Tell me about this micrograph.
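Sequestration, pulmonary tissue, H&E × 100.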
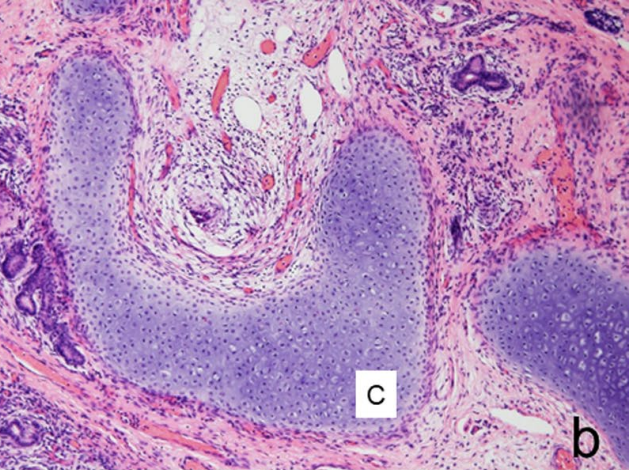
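Here, curved plates of cartilage run through connective tissue. The cartilage matrix is pale blue-purple and glassy, with small cells sitting in lacunae scattered through it. Around the plates lies loose, pale pink connective tissue with small blood vessels. There are a few small glands and clusters of inflammatory cells at the edges.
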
